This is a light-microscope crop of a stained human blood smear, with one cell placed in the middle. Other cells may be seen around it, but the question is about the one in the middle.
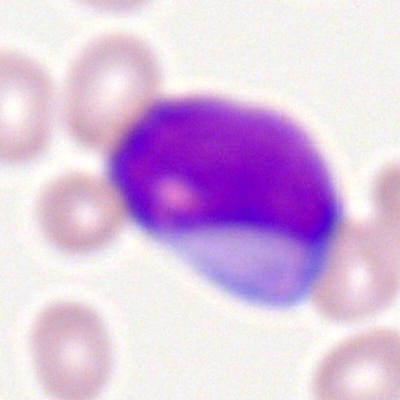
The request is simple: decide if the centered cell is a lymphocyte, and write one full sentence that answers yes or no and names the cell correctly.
No, a lymphocyte is not what the central cell is; it is a blast.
